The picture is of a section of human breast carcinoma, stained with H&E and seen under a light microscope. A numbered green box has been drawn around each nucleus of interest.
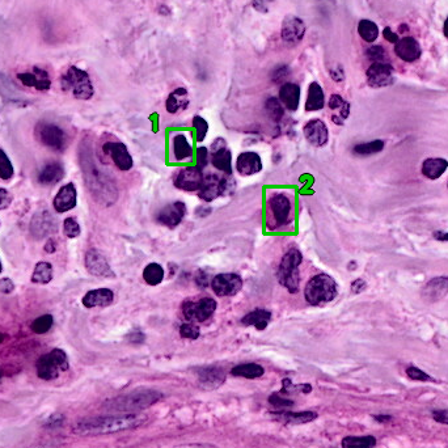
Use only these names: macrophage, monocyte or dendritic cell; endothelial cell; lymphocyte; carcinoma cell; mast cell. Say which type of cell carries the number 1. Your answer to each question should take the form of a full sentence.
Number 1 among the marked cells is a lymphocyte.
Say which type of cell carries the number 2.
Recognised here as a mast cell is the cell numbered 2.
